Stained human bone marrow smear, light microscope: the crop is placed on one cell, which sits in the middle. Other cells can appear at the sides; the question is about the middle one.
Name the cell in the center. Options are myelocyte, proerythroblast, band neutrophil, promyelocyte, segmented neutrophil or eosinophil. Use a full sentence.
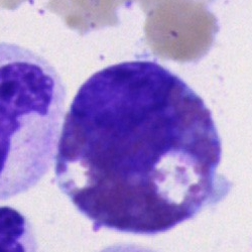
In this crop, the cell at the very middle is an eosinophil.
